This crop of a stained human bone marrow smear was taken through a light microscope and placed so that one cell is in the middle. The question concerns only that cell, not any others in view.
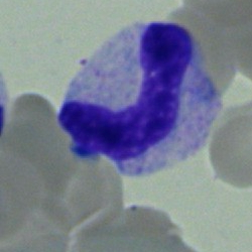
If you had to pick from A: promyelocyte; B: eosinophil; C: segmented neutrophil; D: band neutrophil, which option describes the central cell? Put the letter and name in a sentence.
Option D is accurate; the centrally placed cell is a band neutrophil.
